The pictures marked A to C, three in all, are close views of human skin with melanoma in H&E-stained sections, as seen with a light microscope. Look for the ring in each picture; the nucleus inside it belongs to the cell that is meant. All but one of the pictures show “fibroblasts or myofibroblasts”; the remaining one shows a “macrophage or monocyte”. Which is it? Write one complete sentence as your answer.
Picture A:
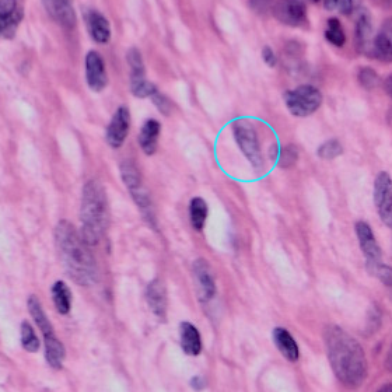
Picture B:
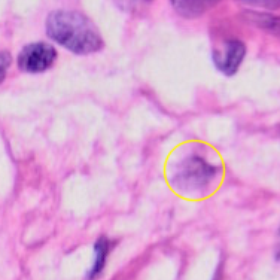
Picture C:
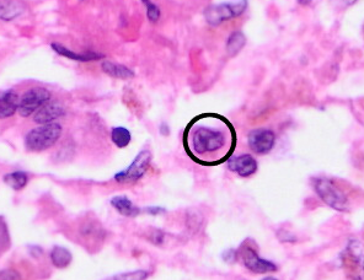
Picture C is the one that shows the “macrophage or monocyte”.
